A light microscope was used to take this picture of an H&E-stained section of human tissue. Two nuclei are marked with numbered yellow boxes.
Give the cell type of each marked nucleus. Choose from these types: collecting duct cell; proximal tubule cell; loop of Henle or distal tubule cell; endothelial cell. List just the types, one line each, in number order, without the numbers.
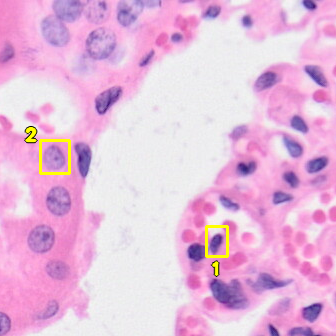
endothelial cell
proximal tubule cell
